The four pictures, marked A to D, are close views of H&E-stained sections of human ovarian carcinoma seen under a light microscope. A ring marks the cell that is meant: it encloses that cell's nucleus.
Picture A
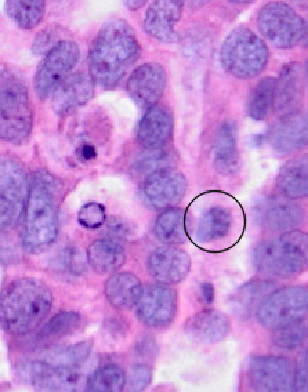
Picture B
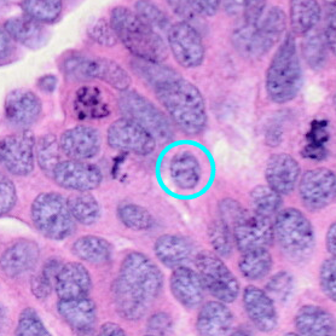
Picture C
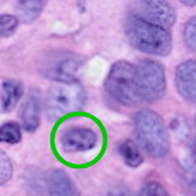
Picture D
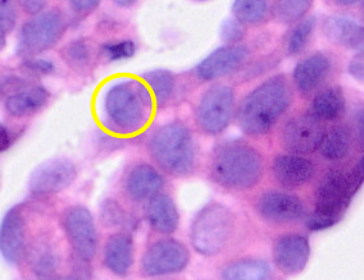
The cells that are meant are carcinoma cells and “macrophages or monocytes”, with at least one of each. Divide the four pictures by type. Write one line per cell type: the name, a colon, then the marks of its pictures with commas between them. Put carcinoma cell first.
carcinoma cell: D
macrophage or monocyte: A, B, C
